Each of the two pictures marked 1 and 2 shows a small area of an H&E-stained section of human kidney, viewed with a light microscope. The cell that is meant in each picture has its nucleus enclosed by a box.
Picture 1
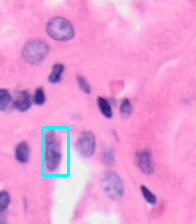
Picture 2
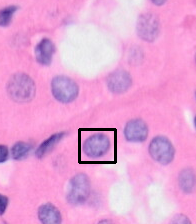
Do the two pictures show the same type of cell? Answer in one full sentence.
Yes, the two pictures both show “loop of Henle or distal tubule cells”.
